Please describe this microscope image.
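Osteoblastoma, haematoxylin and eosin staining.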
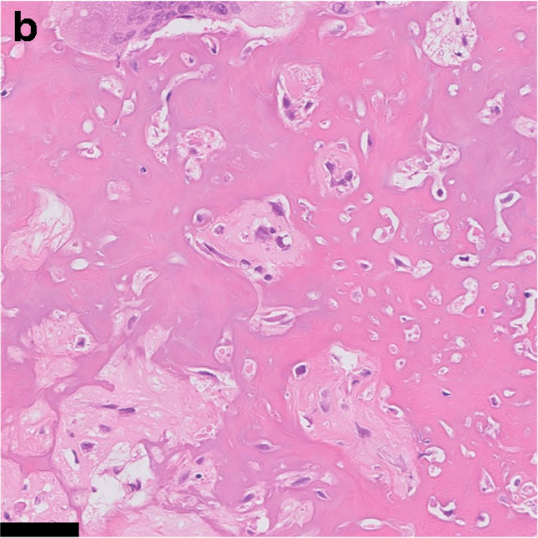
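Here woven bone deposited by osteoblast-like tumour cells forms broad, irregular sheets of pink matrix. Many small spaces in the matrix hold single cells with purple nuclei. Larger pockets of loose, pale stroma hold small clusters of tumour cells.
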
